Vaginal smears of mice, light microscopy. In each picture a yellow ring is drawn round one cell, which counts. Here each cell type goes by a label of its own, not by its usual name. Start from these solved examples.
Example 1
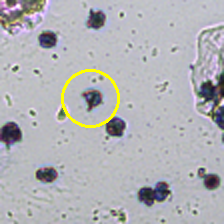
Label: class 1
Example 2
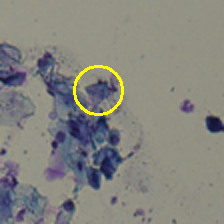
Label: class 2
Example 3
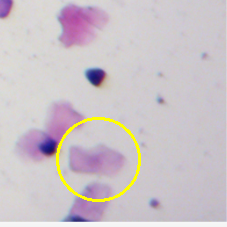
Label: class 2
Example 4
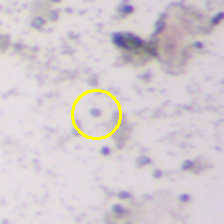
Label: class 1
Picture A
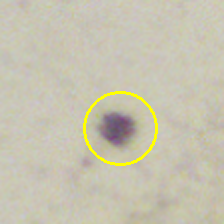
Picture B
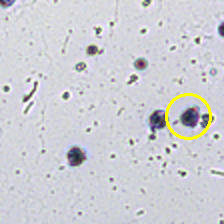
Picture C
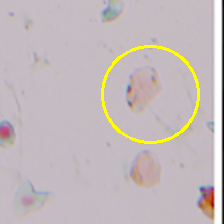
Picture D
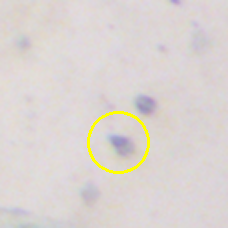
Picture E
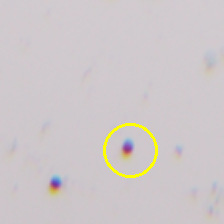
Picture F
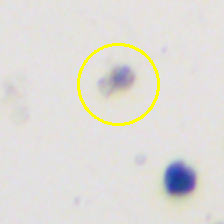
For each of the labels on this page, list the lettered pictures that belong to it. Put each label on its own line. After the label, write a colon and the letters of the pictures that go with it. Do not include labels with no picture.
class 1: A, B, D, E, F
class 2: C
